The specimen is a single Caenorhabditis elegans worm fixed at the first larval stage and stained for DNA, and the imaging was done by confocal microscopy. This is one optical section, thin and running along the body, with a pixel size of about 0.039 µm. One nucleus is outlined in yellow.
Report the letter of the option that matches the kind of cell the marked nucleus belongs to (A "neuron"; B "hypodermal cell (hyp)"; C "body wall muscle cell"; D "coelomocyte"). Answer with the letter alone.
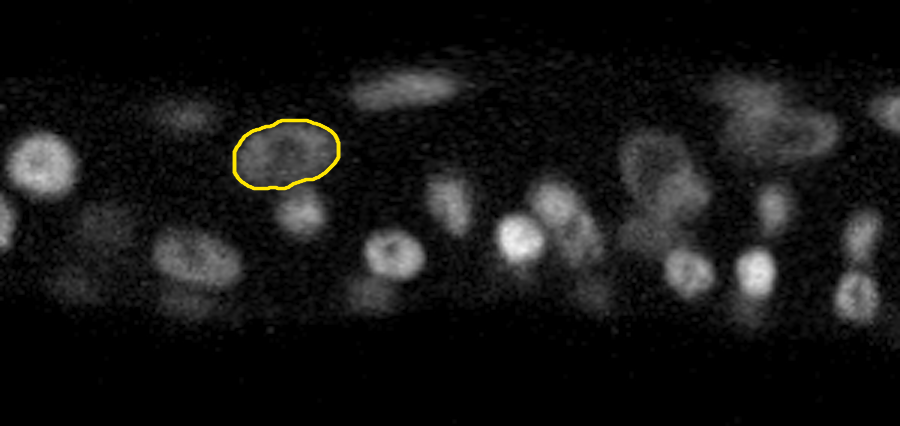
B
